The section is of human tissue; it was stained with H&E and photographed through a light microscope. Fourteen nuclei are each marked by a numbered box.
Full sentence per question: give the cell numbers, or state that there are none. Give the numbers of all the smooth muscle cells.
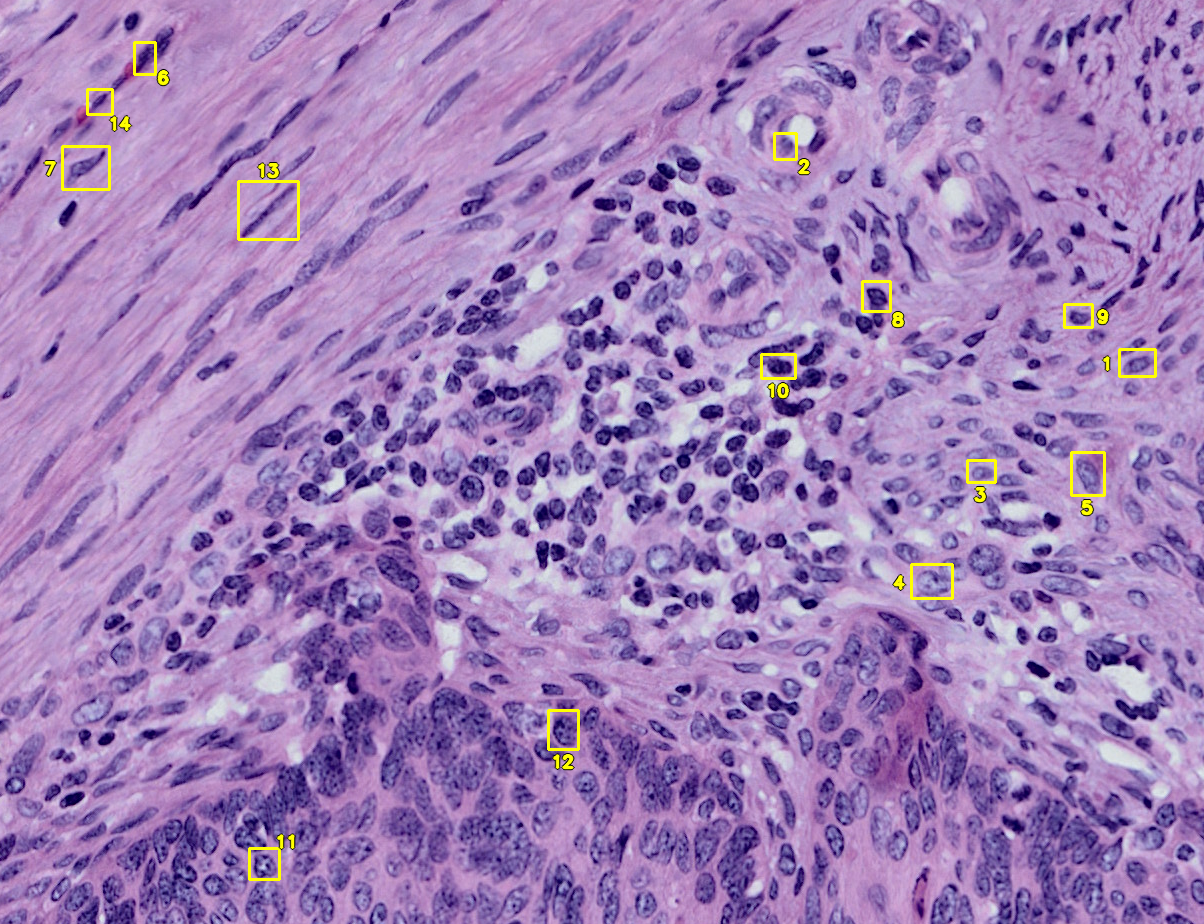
Here, the cells that carry numbers 1, 3, 5, 9 and 13 are smooth muscle cells.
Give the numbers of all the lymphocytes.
In short, the numbered cells 8 and 10 are lymphocytes.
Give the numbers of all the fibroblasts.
Cell 7 is a fibroblast, while all remaining marked cells are of other types.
